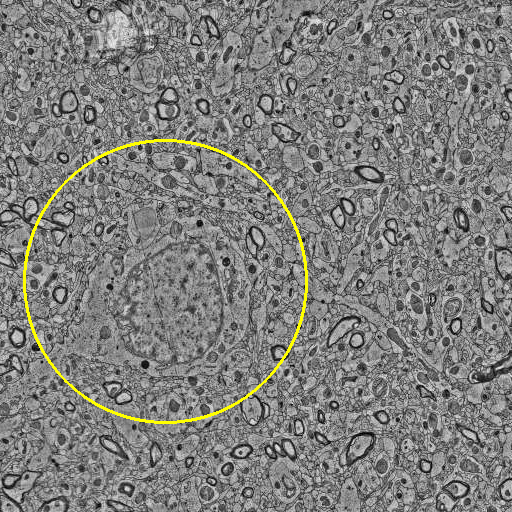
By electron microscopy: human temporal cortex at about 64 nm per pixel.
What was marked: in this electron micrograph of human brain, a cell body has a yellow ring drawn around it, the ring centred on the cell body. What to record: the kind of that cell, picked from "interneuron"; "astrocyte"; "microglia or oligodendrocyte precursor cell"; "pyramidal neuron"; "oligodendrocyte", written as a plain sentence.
The centred cell is an interneuron.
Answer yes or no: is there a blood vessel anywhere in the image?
No, the picture includes no blood vessel.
